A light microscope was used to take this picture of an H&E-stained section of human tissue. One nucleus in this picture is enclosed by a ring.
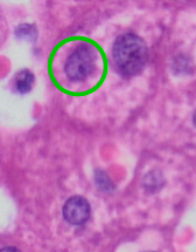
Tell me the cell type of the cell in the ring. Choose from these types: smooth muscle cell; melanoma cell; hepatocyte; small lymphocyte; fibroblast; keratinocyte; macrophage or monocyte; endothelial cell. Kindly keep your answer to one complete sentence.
By its classification, the cell in the ring is a hepatocyte.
